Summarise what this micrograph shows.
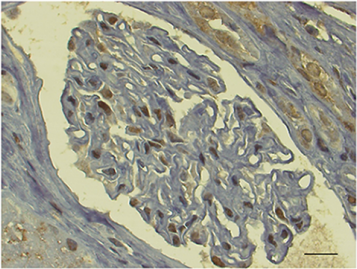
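Renal glomerulus in section, a lobulated capillary tuft surrounded by a clear urinary space and a thin capsule. The tuft is made of many open capillary loops with thin walls and numerous small nuclei along and between them. Scattered nuclei within the tuft are brownish, others blue. Outside the capsule lies dense, purple-blue interstitial tissue with elongated nuclei and tubule profiles at the edges. Some cells of the neighbouring tubules carry brown-tinged nuclei and cytoplasm.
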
